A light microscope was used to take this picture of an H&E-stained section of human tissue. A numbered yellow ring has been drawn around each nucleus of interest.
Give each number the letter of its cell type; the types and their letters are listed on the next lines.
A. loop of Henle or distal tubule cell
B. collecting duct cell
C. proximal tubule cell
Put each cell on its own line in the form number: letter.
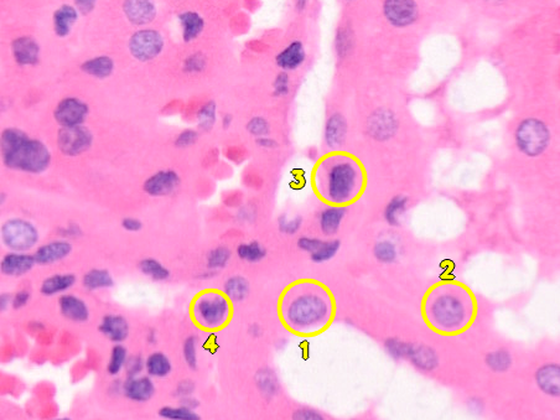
1: A
2: C
3: B
4: B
